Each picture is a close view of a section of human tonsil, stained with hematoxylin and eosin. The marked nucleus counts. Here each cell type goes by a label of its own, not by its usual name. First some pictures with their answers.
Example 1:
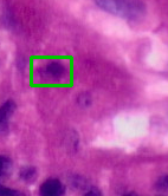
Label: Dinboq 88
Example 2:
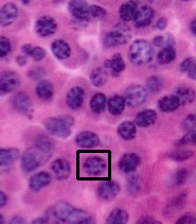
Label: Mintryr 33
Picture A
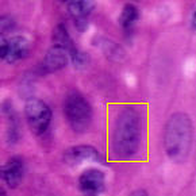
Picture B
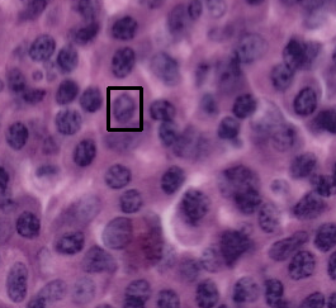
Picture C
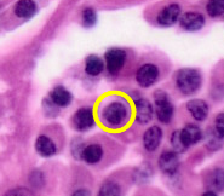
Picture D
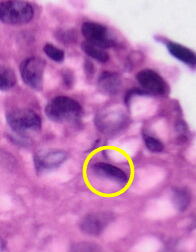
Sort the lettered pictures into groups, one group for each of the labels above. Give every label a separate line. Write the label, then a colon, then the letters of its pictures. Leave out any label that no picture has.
Dinboq 88: A, D
Mintryr 33: B, C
